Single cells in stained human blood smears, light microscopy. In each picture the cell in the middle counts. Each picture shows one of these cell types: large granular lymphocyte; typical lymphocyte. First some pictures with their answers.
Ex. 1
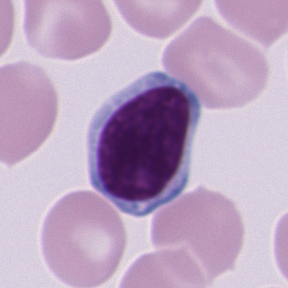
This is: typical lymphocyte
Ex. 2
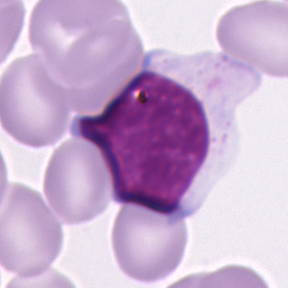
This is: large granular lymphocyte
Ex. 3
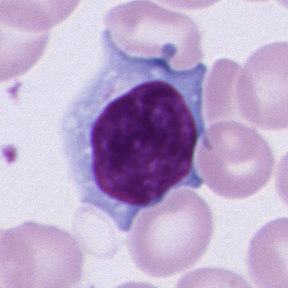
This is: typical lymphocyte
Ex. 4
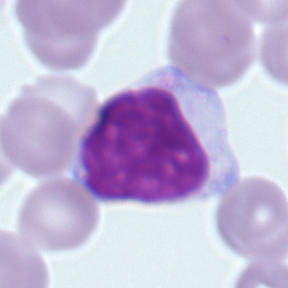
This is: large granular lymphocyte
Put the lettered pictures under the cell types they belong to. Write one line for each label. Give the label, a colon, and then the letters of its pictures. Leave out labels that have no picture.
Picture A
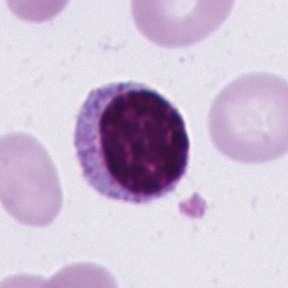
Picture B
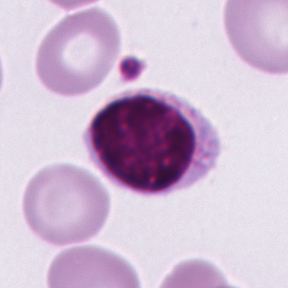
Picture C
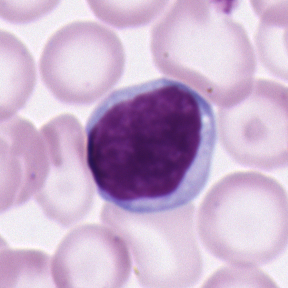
large granular lymphocyte: A, B
typical lymphocyte: C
